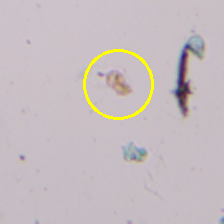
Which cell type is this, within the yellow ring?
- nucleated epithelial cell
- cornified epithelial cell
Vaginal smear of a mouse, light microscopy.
Within the ring is a cornified epithelial cell.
